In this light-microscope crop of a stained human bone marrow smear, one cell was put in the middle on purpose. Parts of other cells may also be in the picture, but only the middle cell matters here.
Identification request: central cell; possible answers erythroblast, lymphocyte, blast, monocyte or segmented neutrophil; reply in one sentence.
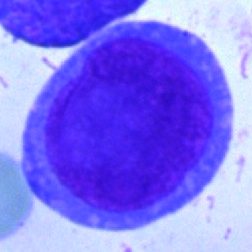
At the middle of the frame sits a blast.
